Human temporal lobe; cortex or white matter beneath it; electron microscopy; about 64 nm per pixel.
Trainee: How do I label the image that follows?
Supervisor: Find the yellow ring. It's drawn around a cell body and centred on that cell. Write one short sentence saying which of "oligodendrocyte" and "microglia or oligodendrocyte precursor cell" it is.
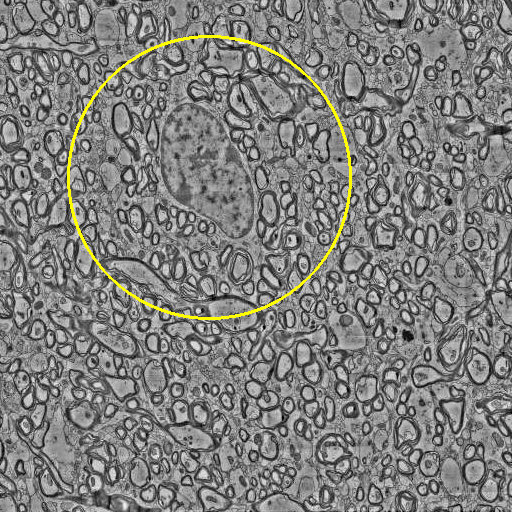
This is the cell body of a microglial cell or oligodendrocyte precursor cell.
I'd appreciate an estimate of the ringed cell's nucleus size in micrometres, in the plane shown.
Roughly 9 micrometres by 6 micrometres, so the nucleus is clearly longer than it is wide in this plane.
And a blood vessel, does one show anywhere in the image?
No, none appears.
